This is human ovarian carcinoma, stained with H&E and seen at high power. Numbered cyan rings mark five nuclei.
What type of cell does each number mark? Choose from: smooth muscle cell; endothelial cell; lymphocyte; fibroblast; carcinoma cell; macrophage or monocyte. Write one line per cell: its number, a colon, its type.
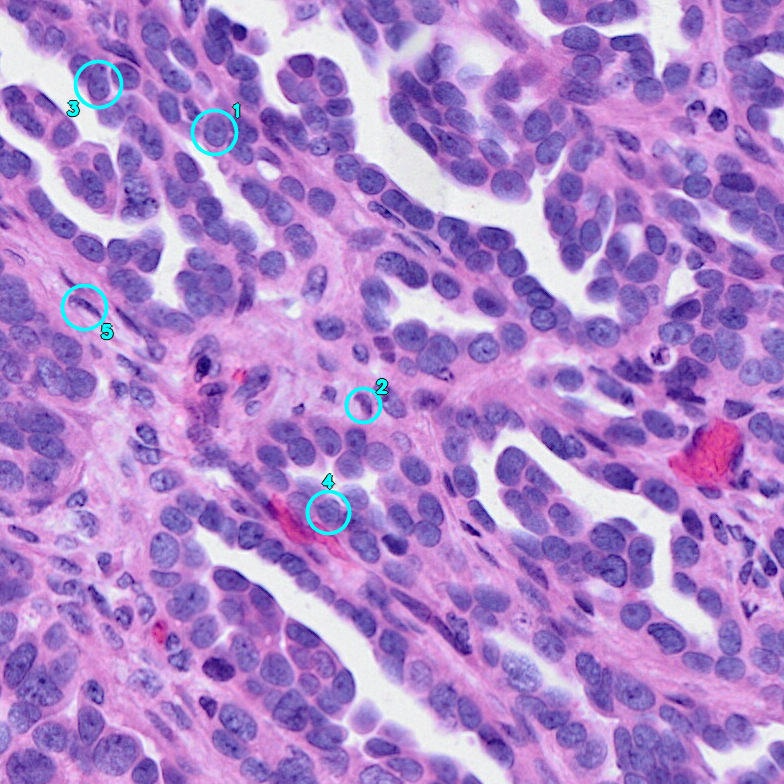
1: carcinoma cell
2: fibroblast
3: carcinoma cell
4: carcinoma cell
5: fibroblast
